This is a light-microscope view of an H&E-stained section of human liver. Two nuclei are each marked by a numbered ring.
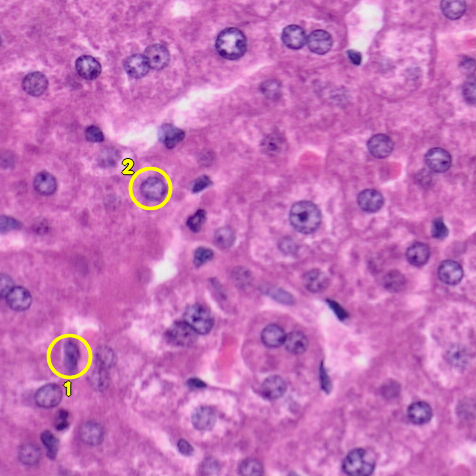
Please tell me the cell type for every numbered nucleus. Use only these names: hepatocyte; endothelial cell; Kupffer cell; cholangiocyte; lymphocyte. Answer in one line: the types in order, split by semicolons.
Kupffer cell; hepatocyte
